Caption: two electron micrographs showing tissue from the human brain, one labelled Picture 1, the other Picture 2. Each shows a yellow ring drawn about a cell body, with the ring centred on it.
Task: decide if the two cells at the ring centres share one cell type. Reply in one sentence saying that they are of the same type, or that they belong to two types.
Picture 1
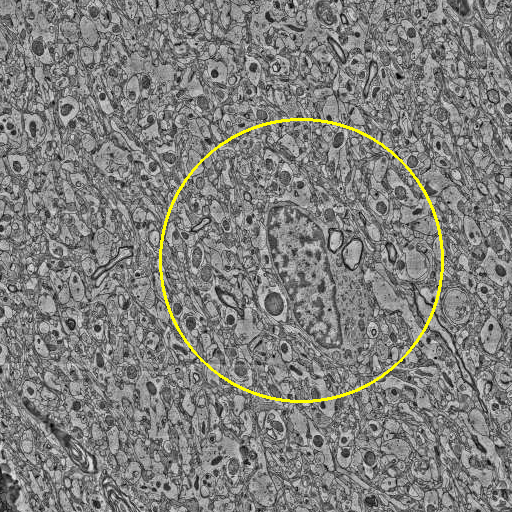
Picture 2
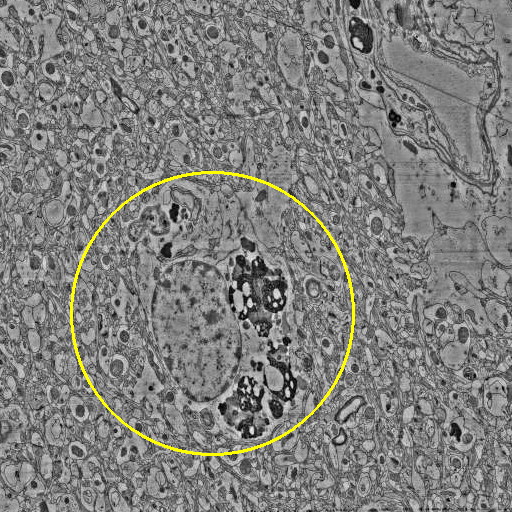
The cells at the ring centres in Picture 1 and Picture 2 belong to two types.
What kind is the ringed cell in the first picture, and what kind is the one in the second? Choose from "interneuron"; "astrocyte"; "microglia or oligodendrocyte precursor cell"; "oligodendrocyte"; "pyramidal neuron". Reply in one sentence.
The first cell is an oligodendrocyte; the second is an astrocyte.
